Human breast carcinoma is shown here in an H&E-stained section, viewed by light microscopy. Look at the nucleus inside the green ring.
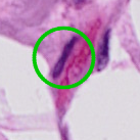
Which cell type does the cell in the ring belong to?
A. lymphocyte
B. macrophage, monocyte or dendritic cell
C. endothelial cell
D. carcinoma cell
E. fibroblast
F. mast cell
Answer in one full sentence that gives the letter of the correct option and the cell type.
The choice that fits is option C, as the cell in the ring is an endothelial cell.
